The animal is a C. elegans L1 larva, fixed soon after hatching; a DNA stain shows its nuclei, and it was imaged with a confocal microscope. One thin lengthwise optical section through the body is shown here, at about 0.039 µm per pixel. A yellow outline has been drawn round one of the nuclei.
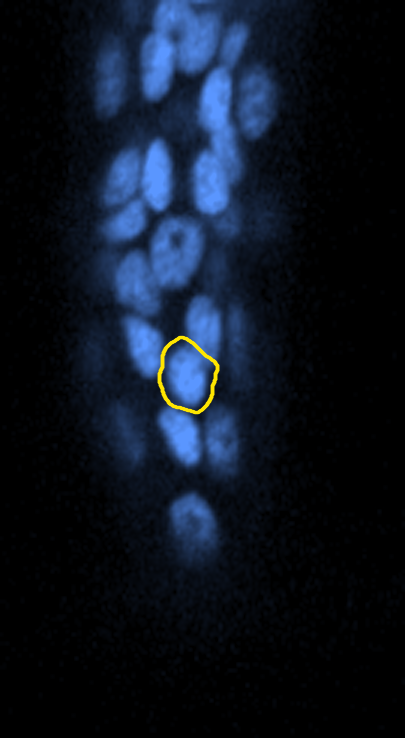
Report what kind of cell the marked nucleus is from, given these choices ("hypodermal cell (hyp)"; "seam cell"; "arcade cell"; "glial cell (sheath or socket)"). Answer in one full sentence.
The cell with the marked nucleus is a hypodermal cell (hyp).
